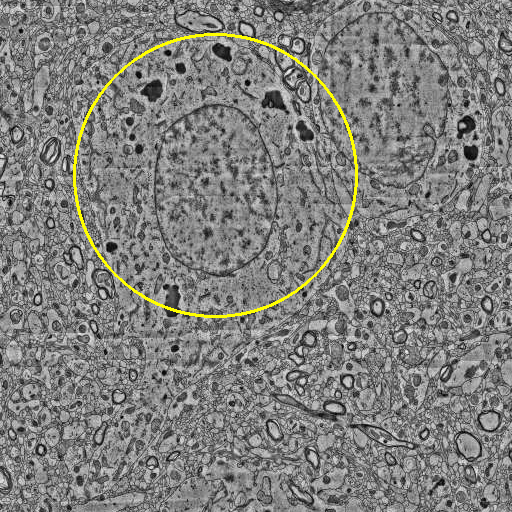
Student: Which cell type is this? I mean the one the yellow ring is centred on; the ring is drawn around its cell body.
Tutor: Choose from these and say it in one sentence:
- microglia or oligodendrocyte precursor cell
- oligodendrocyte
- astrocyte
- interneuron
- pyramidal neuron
The cell the ring is centred on is a pyramidal neuron.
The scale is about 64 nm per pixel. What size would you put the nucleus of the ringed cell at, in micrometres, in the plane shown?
In this plane the nucleus measures roughly 11 by 8 micrometres.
